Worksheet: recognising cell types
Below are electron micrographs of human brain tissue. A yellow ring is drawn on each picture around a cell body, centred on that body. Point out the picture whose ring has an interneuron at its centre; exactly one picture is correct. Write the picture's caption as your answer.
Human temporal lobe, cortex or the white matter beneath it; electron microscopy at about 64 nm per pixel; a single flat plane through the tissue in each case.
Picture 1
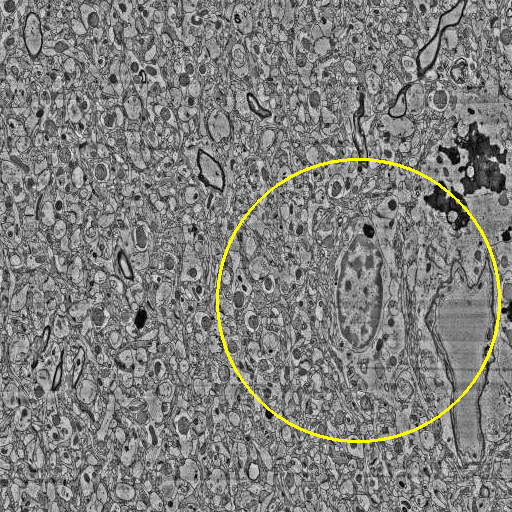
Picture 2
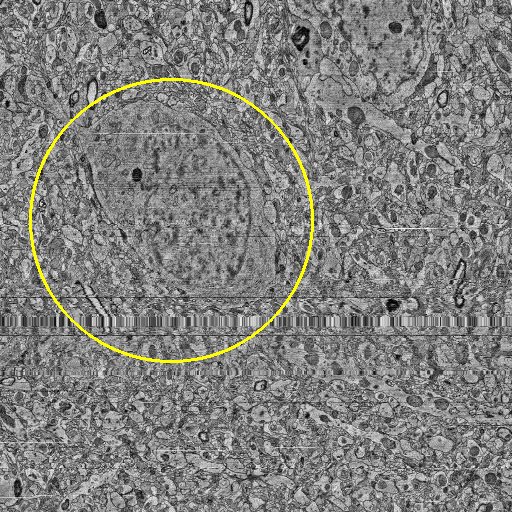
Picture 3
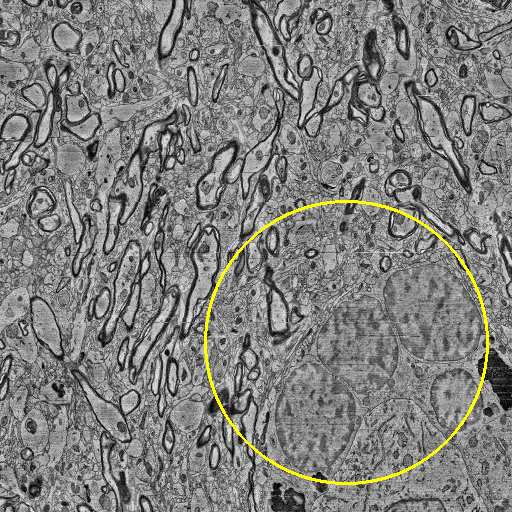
Picture 2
